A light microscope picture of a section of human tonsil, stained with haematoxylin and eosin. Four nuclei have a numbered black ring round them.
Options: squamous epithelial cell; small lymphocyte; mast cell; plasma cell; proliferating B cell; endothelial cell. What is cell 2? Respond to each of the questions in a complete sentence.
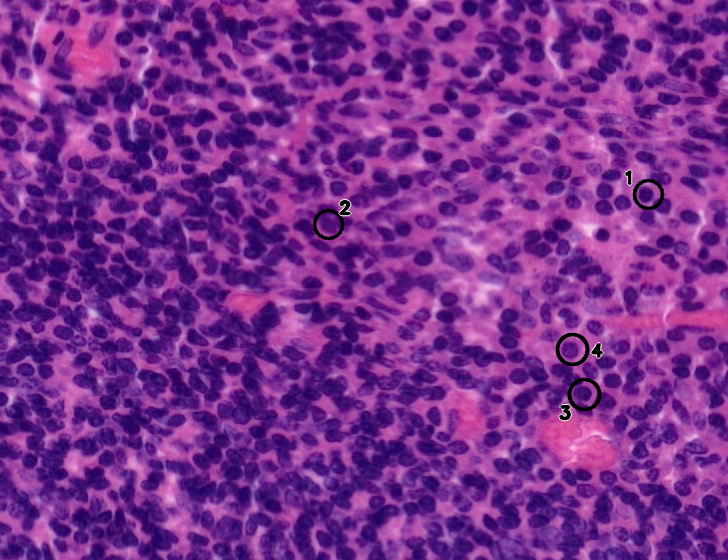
Classified as a squamous epithelial cell is the cell with the number 2.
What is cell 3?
The cell whose nucleus carries the number 3 is a plasma cell.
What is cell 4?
The label 4 in this section denotes a plasma cell.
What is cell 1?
In this section, number 1 marks a plasma cell.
